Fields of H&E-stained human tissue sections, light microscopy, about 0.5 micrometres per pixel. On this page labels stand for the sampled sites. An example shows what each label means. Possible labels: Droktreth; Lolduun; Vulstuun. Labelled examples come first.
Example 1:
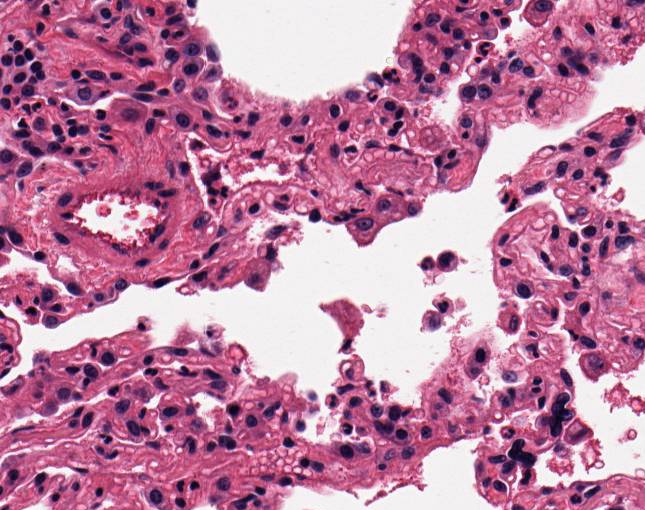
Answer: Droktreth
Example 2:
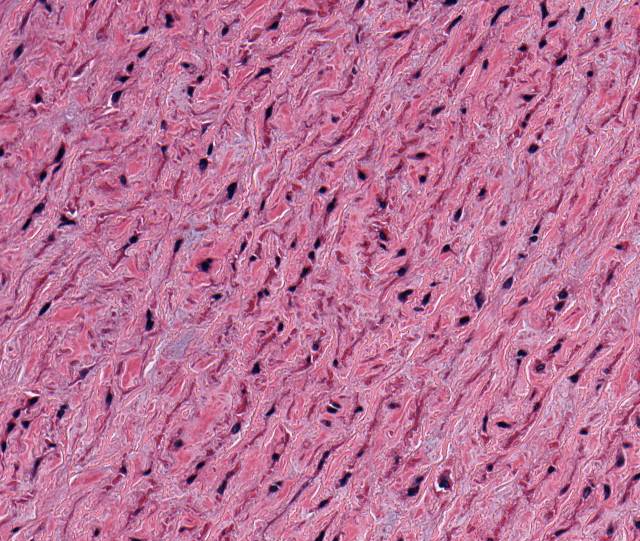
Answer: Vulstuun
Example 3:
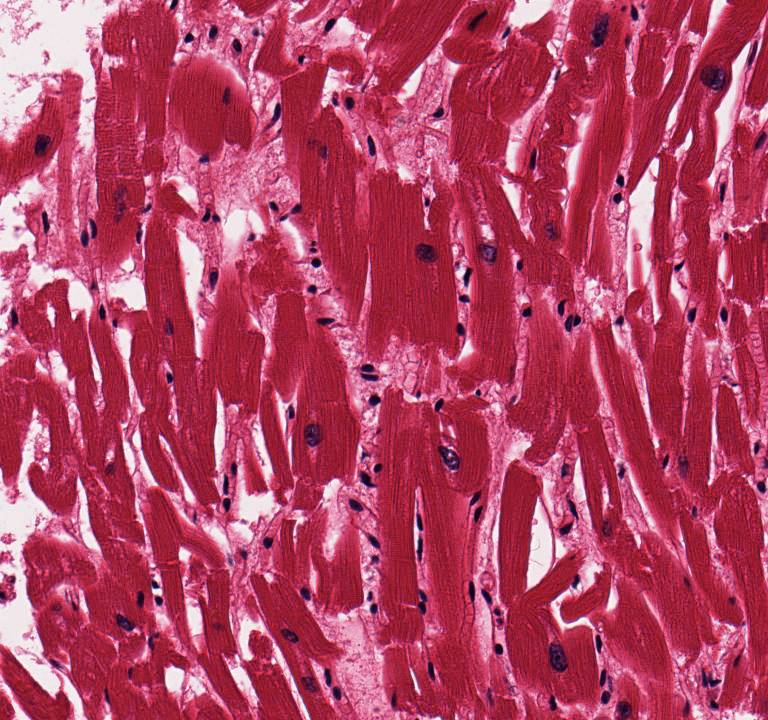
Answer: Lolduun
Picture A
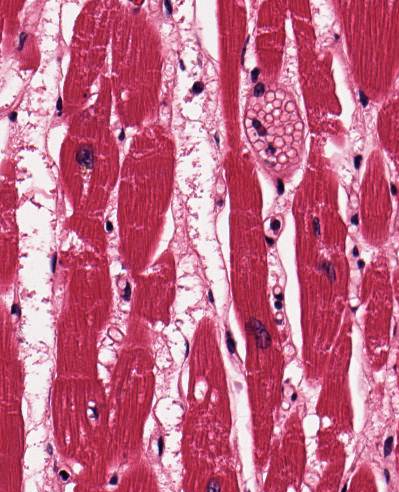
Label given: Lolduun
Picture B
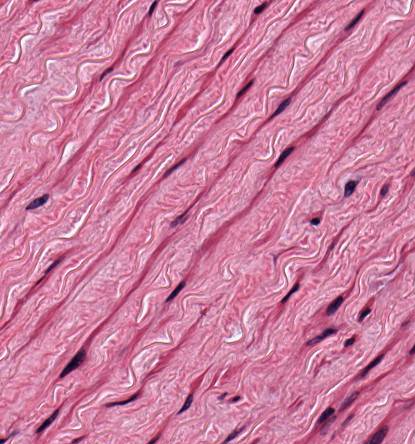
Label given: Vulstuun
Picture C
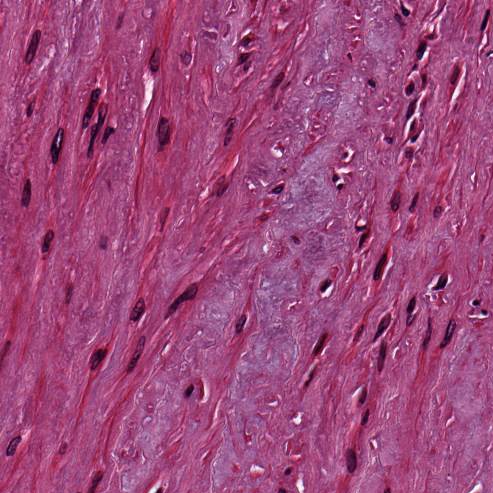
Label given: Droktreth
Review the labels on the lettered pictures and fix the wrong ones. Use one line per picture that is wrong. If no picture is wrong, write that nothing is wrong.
C: not Droktreth but Vulstuun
